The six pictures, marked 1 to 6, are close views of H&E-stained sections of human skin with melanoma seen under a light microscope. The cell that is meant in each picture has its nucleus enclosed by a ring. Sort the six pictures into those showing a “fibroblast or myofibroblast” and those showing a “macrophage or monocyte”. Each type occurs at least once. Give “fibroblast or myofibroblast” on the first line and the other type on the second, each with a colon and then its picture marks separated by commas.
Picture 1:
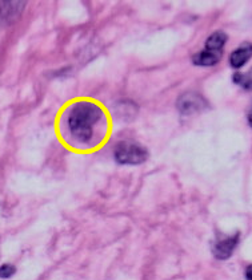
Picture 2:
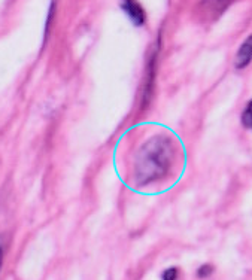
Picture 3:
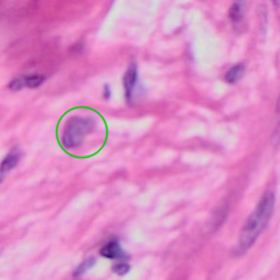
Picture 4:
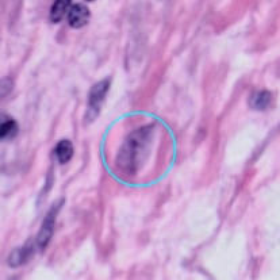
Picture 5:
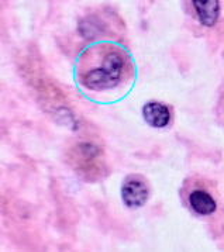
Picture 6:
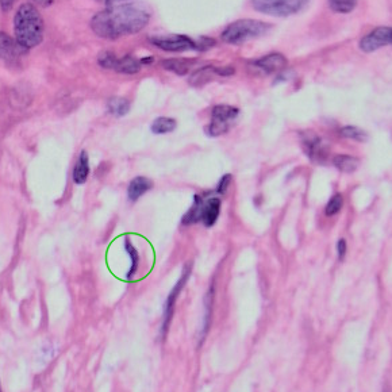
fibroblast or myofibroblast: 2, 3, 4, 6
macrophage or monocyte: 1, 5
